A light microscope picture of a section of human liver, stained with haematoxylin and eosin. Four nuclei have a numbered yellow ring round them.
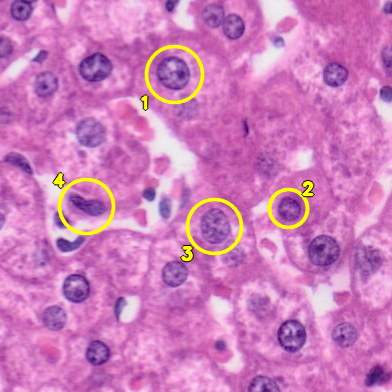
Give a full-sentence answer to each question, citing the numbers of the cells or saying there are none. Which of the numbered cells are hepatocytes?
The cells that have numbers 1, 2 and 3 are hepatocytes.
